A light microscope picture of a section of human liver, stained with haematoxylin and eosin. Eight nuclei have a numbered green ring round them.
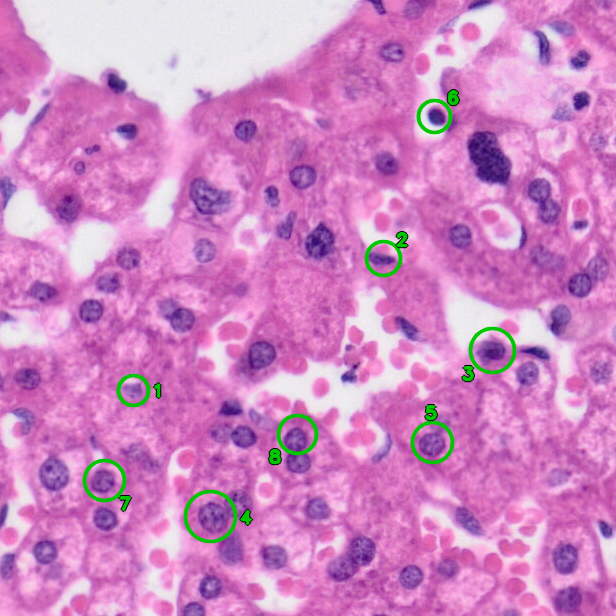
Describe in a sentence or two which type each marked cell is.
Cell 1 is an endothelial cell, cell 2 is a fibroblast or stellate cell, cell 3 is a Kupffer cell, cell 4 is a hepatocyte, cell 5 is a hepatocyte, cell 6 is a lymphocyte, cell 7 is a hepatocyte and cell 8 is a hepatocyte.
